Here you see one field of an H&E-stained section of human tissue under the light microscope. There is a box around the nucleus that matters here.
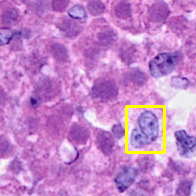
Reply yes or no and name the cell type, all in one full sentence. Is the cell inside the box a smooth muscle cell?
No. Look again: the cell inside the box is a macrophage or monocyte, not a smooth muscle cell.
